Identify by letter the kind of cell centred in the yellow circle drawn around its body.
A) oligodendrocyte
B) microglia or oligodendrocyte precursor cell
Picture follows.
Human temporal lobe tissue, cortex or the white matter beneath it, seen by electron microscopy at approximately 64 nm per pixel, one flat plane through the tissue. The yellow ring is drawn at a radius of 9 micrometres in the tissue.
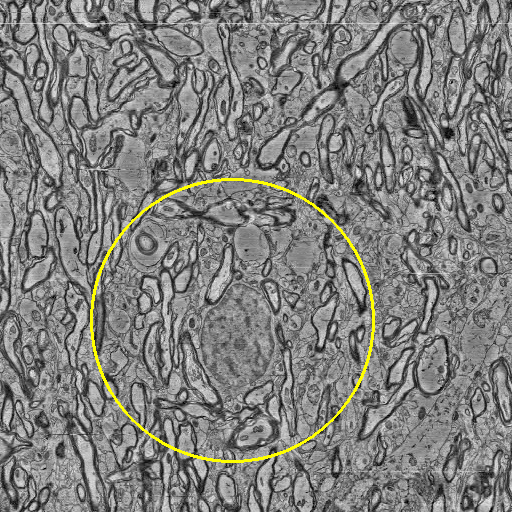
A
